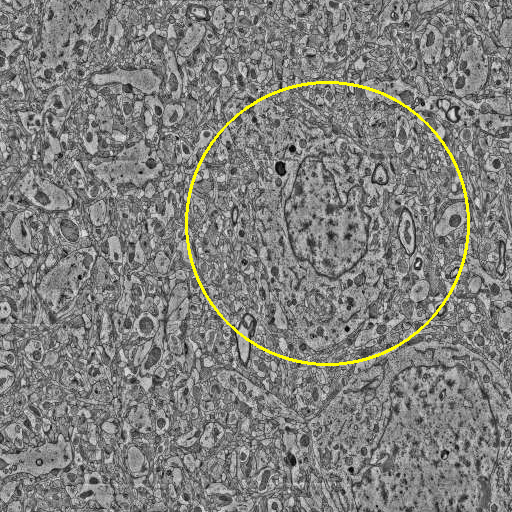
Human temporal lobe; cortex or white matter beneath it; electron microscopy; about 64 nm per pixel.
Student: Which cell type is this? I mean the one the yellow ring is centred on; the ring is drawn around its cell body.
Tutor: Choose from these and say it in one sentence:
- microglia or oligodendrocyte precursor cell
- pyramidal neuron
The cell the ring is centred on is a pyramidal neuron.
